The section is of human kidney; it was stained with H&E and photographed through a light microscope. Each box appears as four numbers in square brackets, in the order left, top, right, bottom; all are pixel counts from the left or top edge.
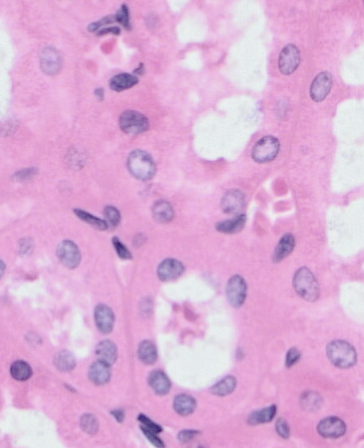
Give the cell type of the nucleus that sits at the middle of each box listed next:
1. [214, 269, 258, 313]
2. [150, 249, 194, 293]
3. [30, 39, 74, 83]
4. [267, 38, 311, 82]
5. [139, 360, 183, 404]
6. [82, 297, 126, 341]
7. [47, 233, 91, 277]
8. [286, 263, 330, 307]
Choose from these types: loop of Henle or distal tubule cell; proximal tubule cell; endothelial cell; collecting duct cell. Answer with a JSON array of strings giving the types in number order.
["loop of Henle or distal tubule cell", "loop of Henle or distal tubule cell", "proximal tubule cell", "proximal tubule cell", "loop of Henle or distal tubule cell", "loop of Henle or distal tubule cell", "loop of Henle or distal tubule cell", "proximal tubule cell"]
